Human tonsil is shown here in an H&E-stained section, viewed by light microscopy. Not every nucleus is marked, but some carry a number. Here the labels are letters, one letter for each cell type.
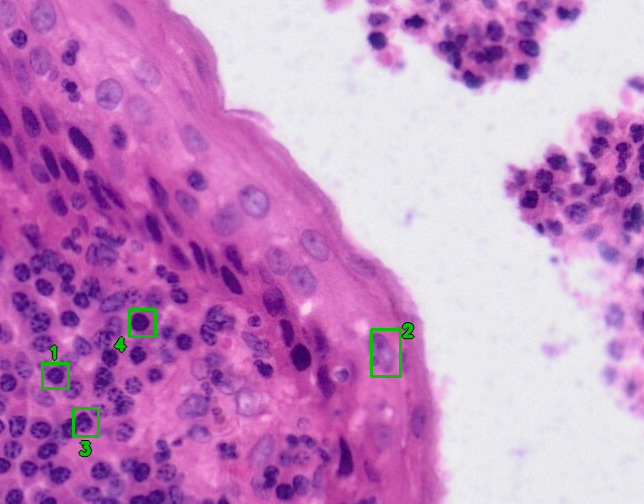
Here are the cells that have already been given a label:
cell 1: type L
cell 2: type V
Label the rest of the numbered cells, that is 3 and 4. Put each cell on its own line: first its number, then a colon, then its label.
3: type L
4: type L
